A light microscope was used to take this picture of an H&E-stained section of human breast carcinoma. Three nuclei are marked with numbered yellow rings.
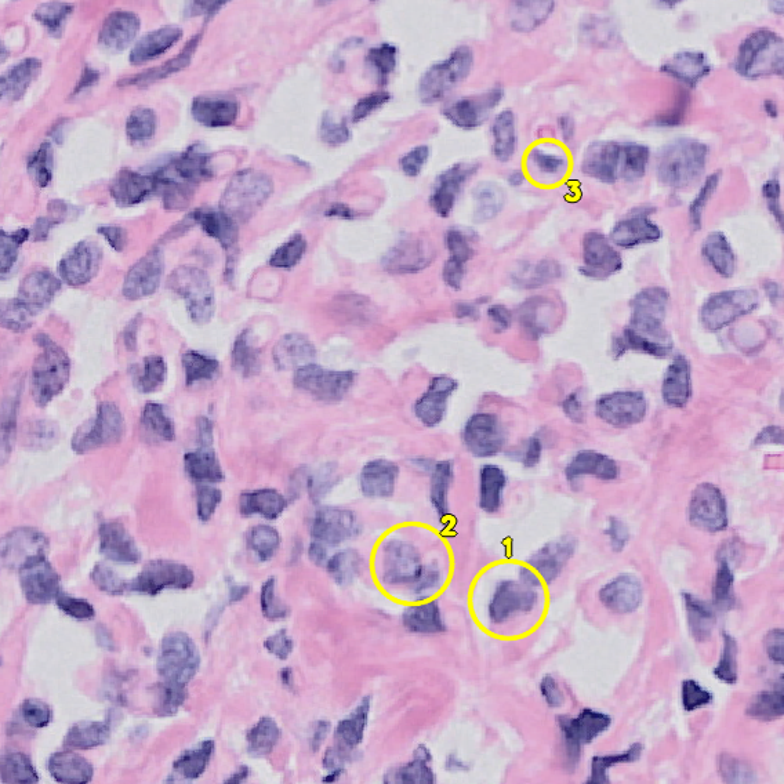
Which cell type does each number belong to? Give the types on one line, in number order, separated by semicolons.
carcinoma cell; carcinoma cell; endothelial cell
